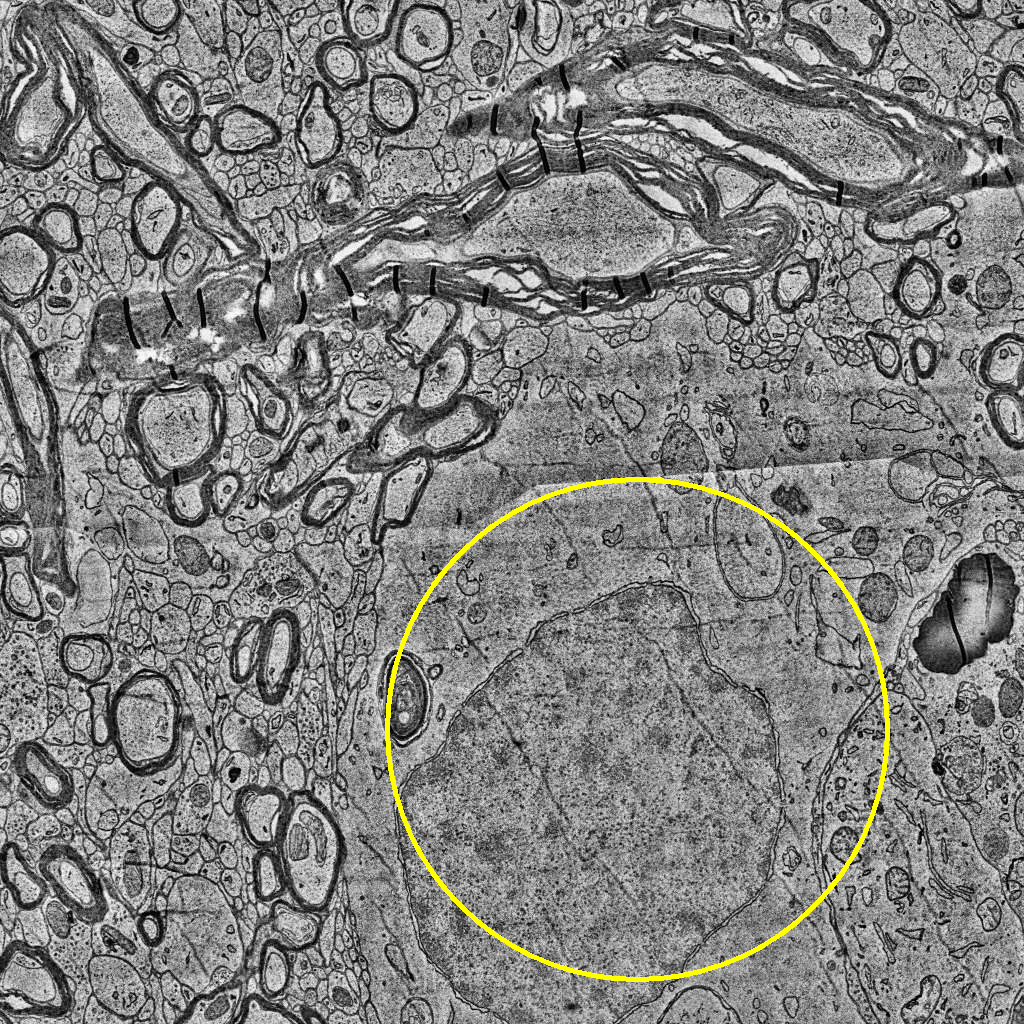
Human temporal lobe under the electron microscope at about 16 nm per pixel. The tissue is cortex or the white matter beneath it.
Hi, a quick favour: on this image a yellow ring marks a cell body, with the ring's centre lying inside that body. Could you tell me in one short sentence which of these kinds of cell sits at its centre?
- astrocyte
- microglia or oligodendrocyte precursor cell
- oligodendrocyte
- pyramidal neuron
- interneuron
The ring's centre lies in an astrocyte.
